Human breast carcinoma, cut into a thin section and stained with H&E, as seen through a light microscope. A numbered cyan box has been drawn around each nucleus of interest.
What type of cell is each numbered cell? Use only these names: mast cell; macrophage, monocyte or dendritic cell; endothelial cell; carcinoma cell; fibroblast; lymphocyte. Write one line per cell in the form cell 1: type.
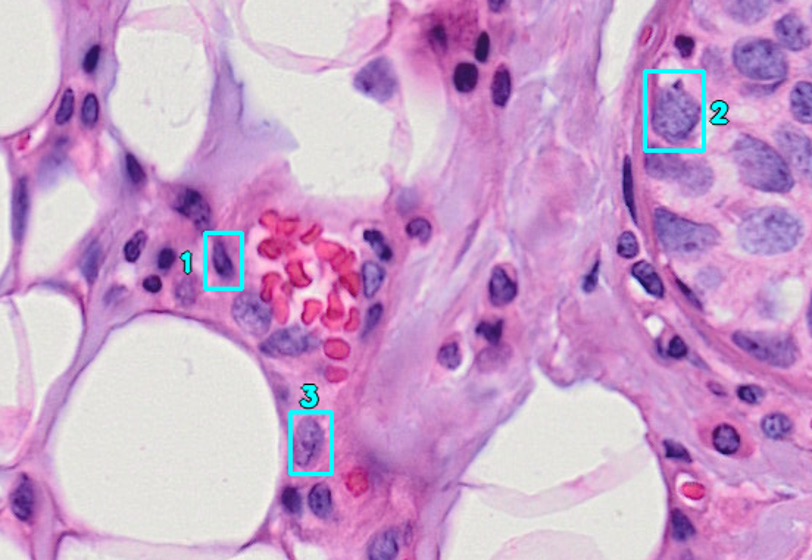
cell 1: endothelial cell
cell 2: carcinoma cell
cell 3: endothelial cell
